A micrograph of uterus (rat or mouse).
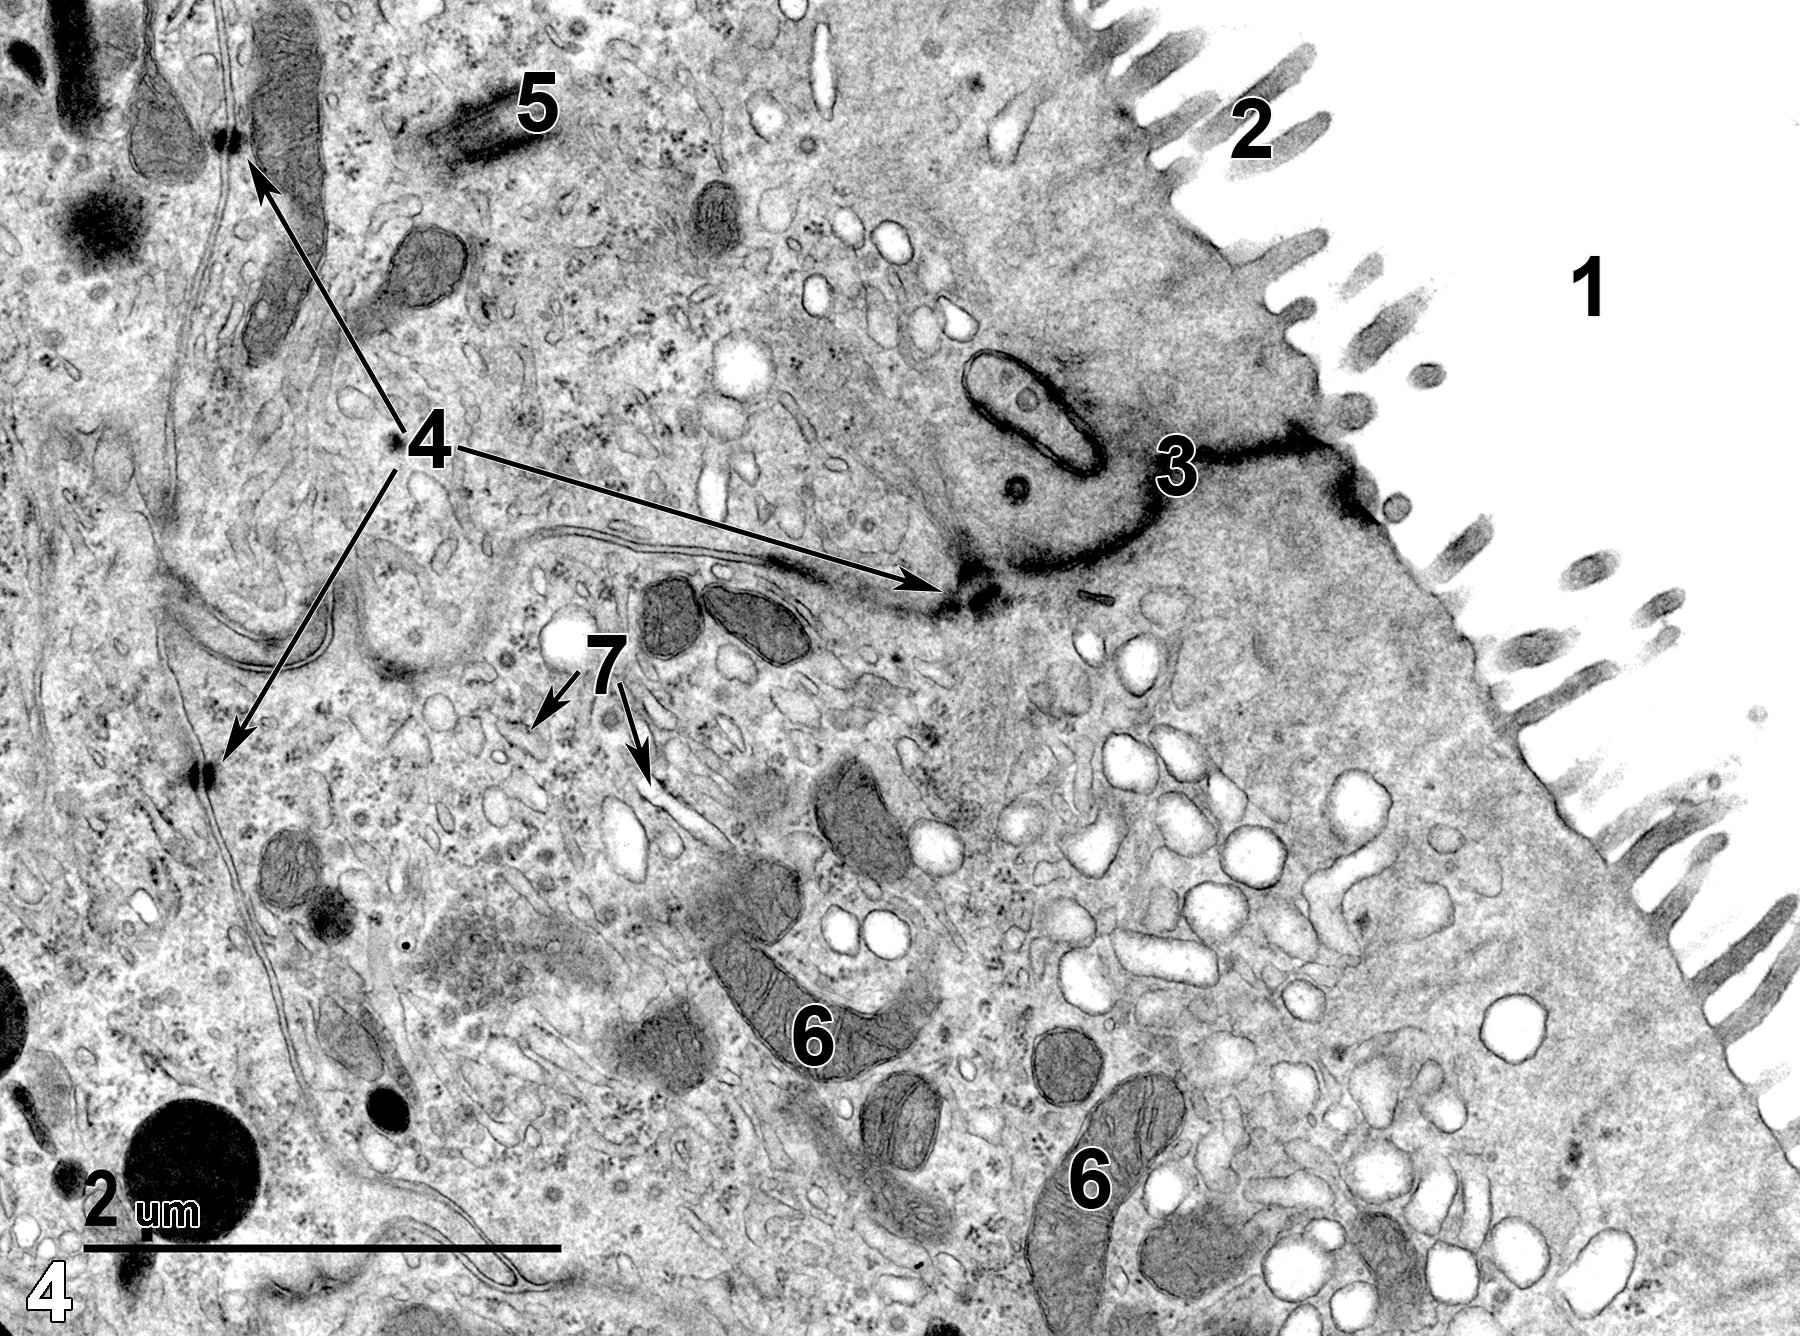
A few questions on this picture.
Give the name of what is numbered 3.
Long junctional complex.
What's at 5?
Single centriole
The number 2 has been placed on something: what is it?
Microvilli.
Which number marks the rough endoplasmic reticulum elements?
It's 7.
